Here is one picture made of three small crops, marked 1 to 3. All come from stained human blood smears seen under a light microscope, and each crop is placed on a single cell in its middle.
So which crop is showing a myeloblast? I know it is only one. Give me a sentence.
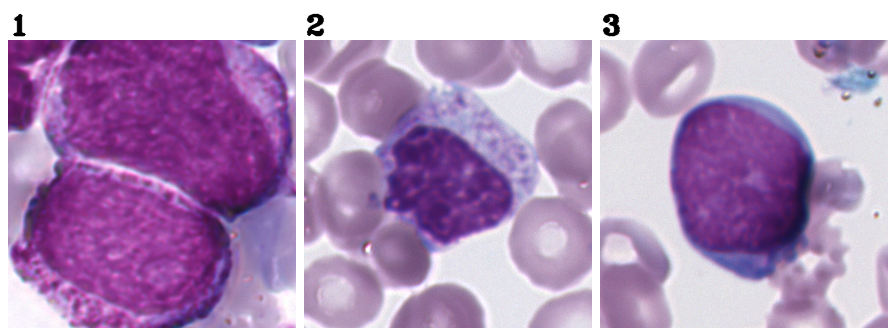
The correct choice is crop 3, the one showing a myeloblast.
